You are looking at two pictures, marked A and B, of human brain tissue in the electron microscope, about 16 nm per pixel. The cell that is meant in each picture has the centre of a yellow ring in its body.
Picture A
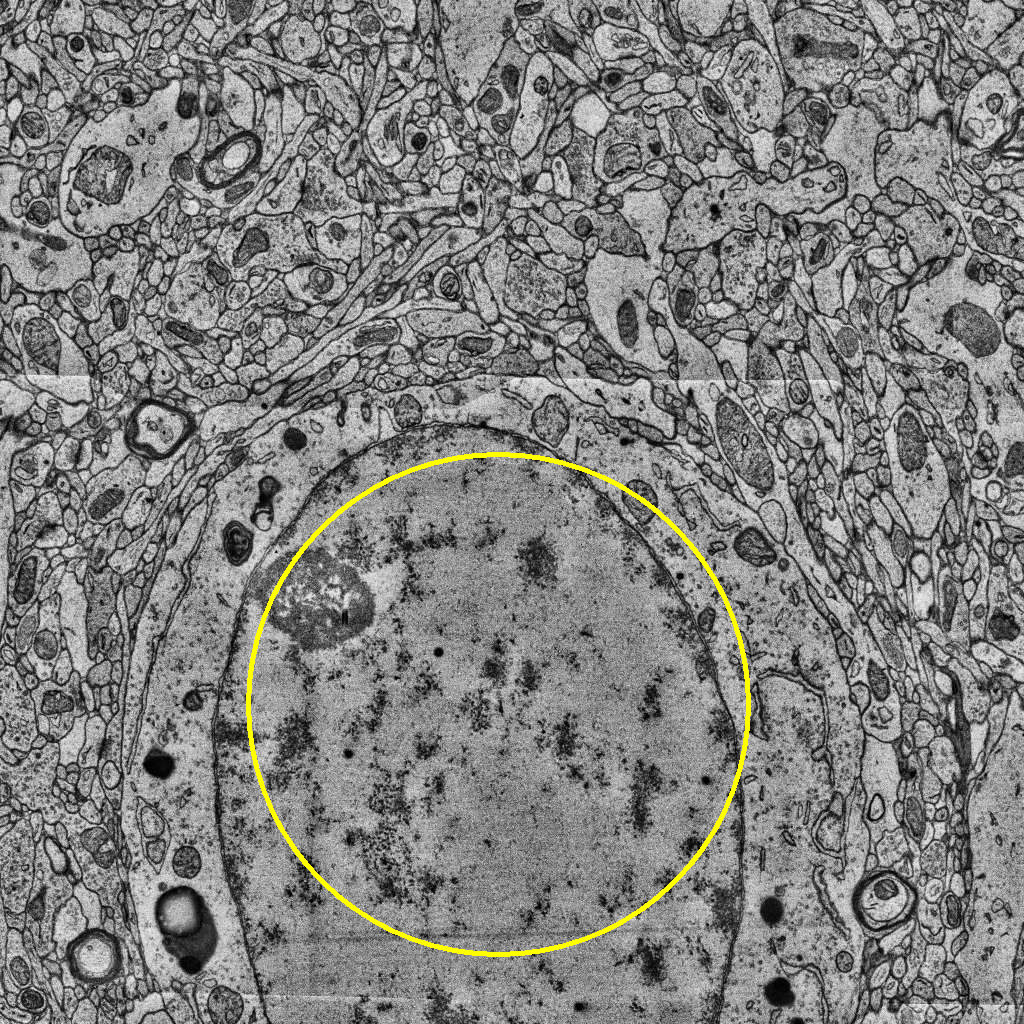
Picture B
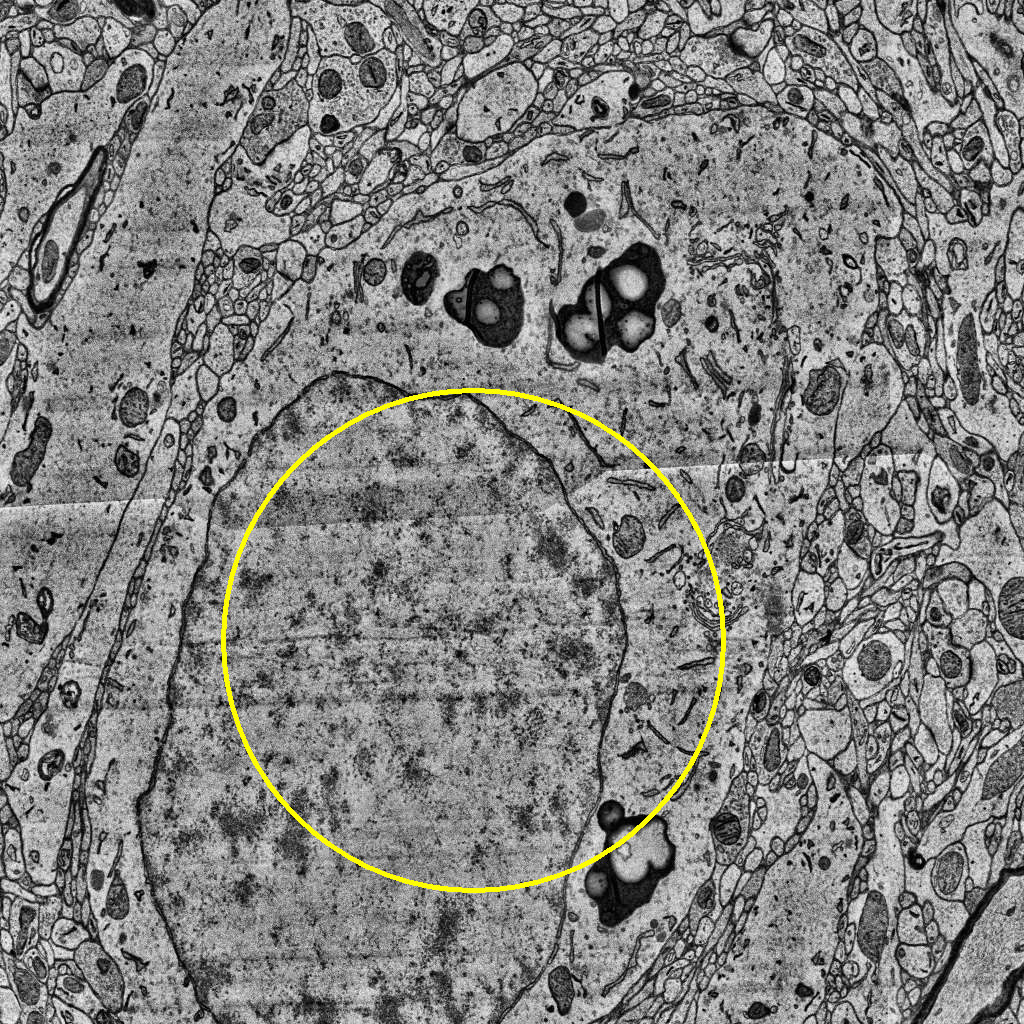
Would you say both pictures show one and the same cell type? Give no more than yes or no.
yes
